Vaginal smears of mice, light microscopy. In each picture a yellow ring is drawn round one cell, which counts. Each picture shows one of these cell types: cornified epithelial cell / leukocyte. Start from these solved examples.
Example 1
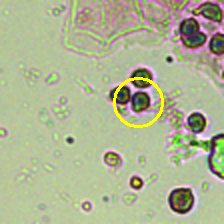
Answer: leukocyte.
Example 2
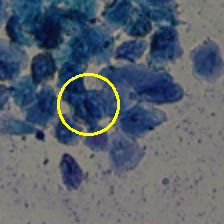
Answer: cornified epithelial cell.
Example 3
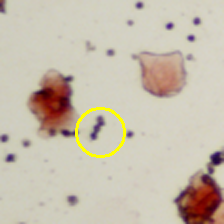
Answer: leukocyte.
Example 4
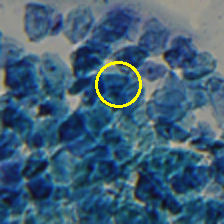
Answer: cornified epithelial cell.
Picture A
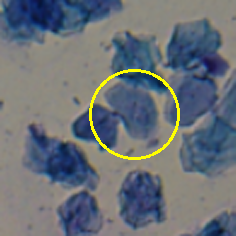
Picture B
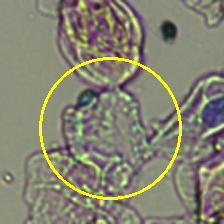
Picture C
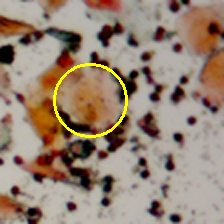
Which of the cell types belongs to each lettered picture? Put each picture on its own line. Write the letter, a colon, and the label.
A: cornified epithelial cell.
B: cornified epithelial cell.
C: cornified epithelial cell.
